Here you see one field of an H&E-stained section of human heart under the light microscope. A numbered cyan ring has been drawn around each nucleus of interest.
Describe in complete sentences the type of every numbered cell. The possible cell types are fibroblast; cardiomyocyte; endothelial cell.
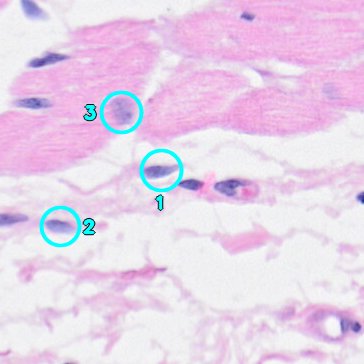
Cell 1 is a fibroblast, cell 2 is a fibroblast and cell 3 is a cardiomyocyte.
